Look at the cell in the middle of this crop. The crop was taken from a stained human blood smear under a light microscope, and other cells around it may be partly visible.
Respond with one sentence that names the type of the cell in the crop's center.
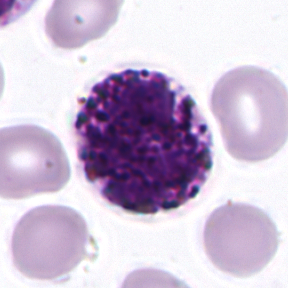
Standing at the centre of this crop is a basophil.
